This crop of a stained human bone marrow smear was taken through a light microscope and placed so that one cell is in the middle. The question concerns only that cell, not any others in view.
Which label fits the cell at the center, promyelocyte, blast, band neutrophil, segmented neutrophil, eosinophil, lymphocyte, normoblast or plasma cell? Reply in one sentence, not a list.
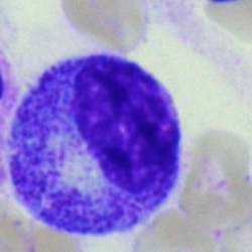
The cell occupying the middle of the crop is a promyelocyte.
